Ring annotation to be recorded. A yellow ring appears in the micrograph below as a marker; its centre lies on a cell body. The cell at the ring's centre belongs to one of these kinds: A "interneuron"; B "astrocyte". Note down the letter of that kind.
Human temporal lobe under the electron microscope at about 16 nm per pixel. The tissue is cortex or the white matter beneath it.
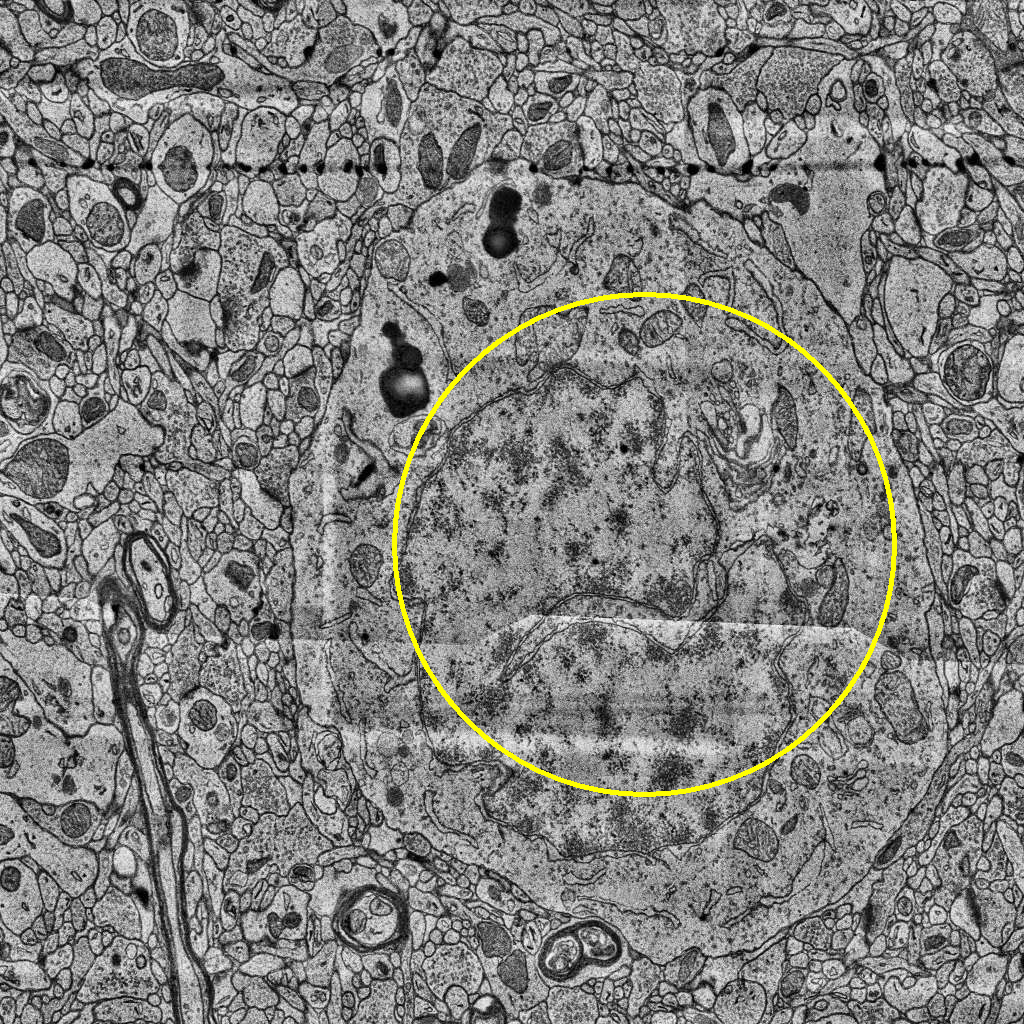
A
